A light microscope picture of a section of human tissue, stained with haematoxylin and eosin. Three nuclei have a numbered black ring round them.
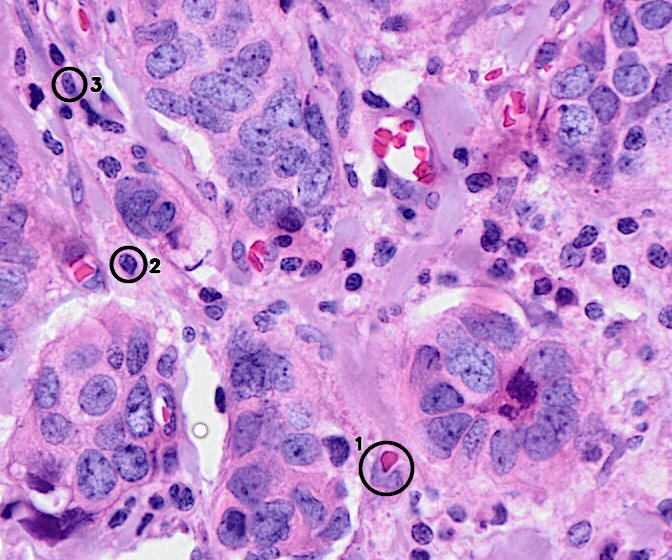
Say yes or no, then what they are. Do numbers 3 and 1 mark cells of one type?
No, the cell numbered 3 is a mast cell and the cell numbered 1 is an endothelial cell.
